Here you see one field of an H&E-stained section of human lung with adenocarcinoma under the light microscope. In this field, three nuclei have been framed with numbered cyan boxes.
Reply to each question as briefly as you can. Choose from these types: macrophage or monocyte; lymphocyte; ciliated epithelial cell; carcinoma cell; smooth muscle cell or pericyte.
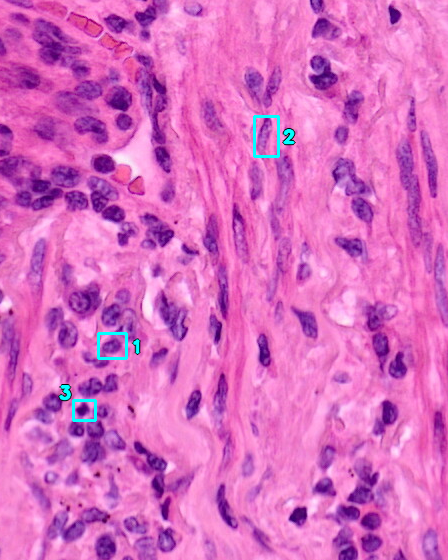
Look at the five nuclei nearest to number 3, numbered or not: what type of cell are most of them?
lymphocyte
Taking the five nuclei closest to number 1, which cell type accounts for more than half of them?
lymphocyte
